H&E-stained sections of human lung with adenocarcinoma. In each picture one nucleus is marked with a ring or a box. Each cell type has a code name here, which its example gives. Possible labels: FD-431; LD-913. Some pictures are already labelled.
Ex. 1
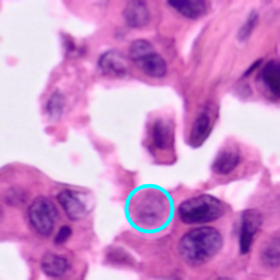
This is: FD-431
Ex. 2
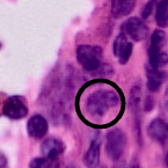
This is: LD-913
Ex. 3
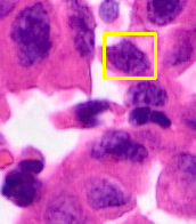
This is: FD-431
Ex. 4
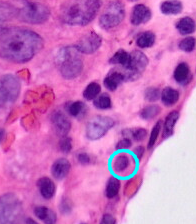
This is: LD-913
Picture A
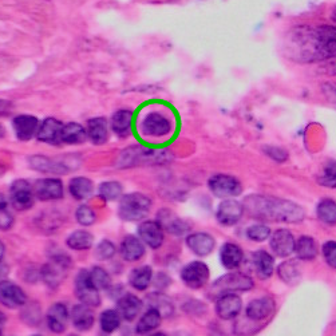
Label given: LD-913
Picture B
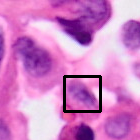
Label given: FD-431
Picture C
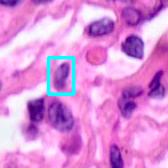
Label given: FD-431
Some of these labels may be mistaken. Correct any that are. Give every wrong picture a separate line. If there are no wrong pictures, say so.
C should be LD-913, not FD-431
